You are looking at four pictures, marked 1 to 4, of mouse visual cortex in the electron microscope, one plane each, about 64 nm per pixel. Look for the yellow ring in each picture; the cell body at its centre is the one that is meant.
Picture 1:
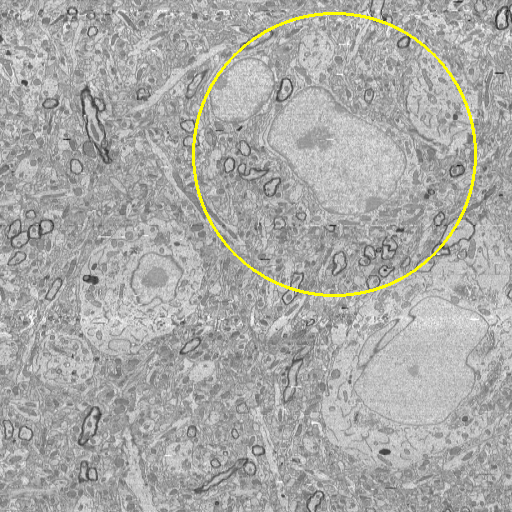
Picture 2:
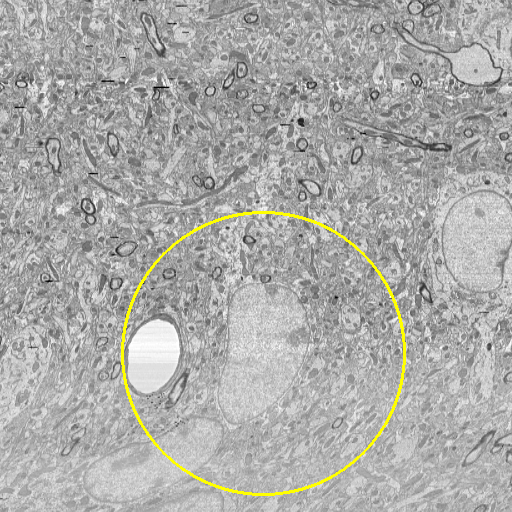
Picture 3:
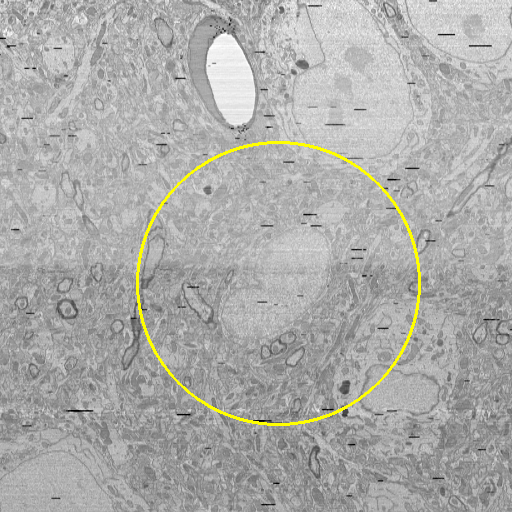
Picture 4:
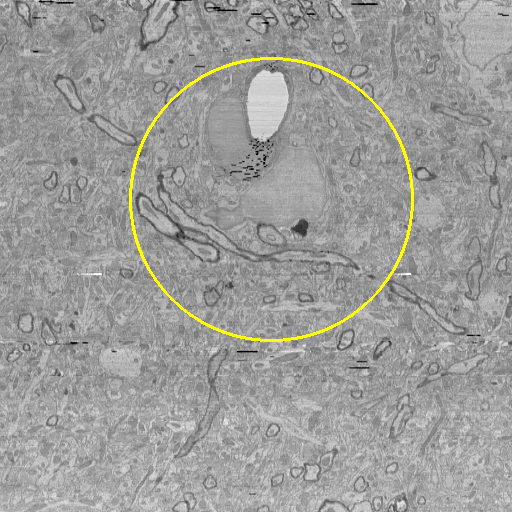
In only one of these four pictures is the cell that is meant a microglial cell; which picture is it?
Picture 4 is the one that shows the microglial cell.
